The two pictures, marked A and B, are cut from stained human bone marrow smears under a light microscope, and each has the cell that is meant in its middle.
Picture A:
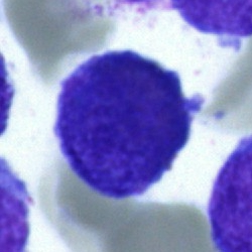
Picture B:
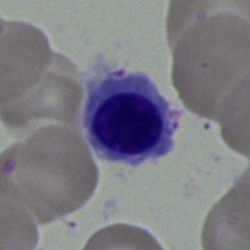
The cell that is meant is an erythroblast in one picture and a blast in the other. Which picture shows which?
A: blast
B: erythroblast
